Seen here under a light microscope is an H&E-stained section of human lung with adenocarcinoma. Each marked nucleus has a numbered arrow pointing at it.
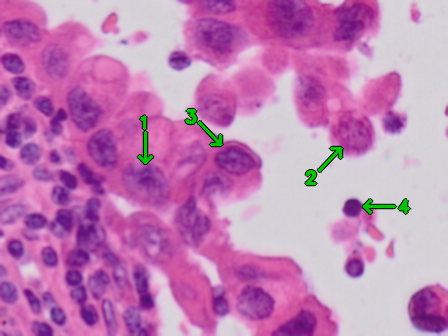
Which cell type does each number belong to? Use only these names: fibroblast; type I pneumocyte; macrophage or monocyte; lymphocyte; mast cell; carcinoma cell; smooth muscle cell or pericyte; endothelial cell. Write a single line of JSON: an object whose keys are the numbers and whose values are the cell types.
{"1": "carcinoma cell", "2": "carcinoma cell", "3": "carcinoma cell", "4": "lymphocyte"}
